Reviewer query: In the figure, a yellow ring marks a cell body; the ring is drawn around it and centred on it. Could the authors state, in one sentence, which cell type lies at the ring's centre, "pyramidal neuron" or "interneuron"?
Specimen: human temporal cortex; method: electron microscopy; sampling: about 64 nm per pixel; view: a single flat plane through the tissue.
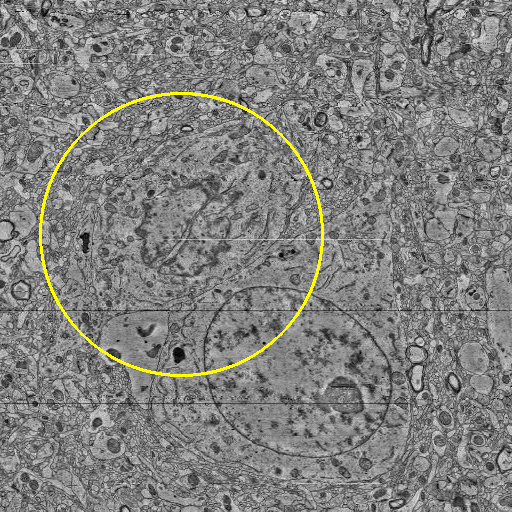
The ring is centred on an interneuron.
